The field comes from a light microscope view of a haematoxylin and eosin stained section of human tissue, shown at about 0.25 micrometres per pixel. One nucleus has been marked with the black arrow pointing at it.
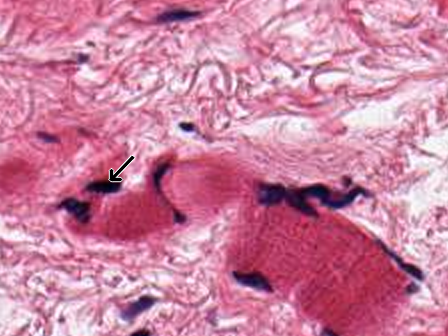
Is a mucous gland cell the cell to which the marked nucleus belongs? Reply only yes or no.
no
